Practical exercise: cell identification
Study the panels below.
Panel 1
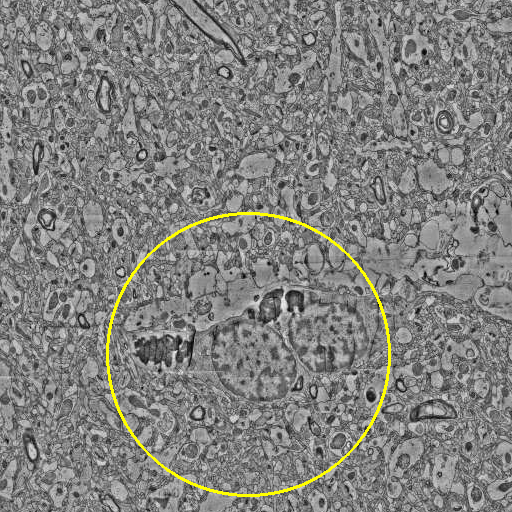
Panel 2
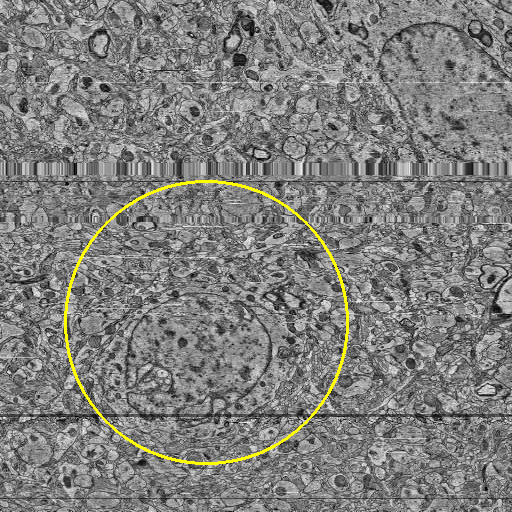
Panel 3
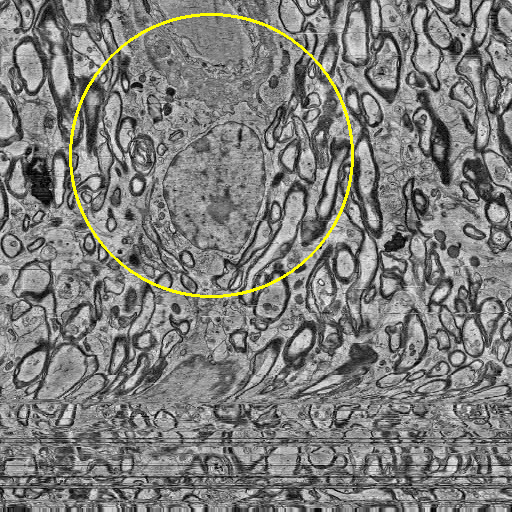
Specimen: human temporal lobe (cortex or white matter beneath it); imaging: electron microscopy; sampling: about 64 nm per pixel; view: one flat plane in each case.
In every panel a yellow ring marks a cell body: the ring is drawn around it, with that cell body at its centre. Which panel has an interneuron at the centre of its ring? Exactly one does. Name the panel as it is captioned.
Panel 2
